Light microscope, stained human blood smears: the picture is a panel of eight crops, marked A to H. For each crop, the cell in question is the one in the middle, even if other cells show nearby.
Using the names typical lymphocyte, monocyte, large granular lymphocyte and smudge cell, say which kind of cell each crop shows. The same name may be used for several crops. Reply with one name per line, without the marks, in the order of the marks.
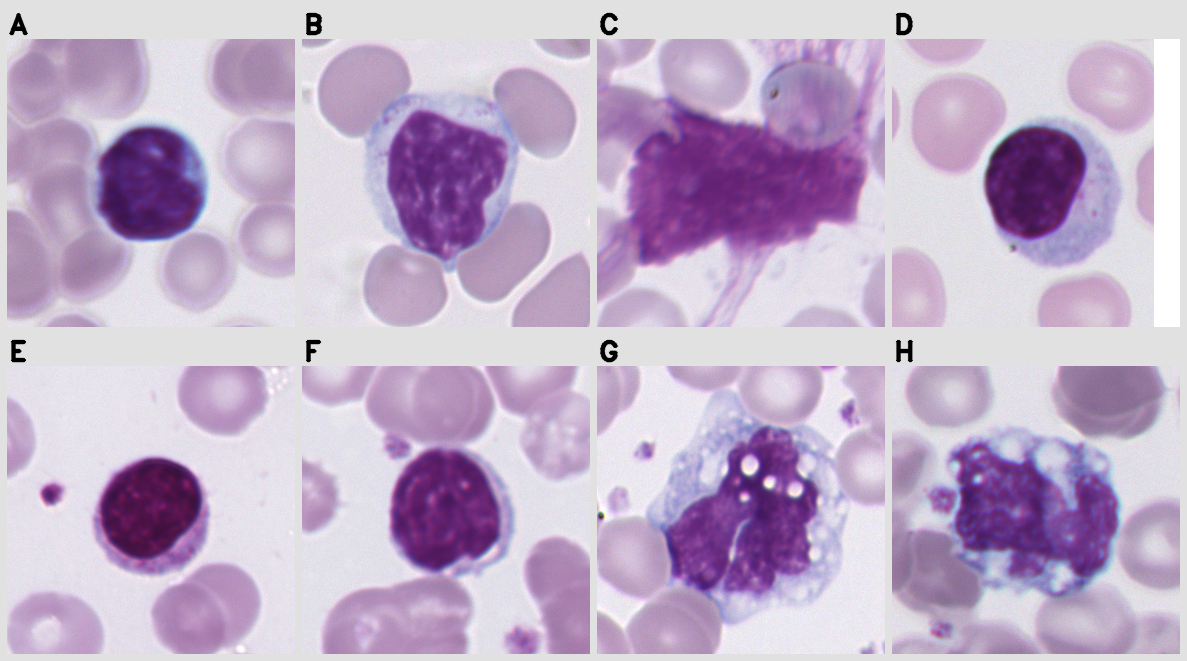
typical lymphocyte
large granular lymphocyte
smudge cell
large granular lymphocyte
large granular lymphocyte
typical lymphocyte
monocyte
monocyte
